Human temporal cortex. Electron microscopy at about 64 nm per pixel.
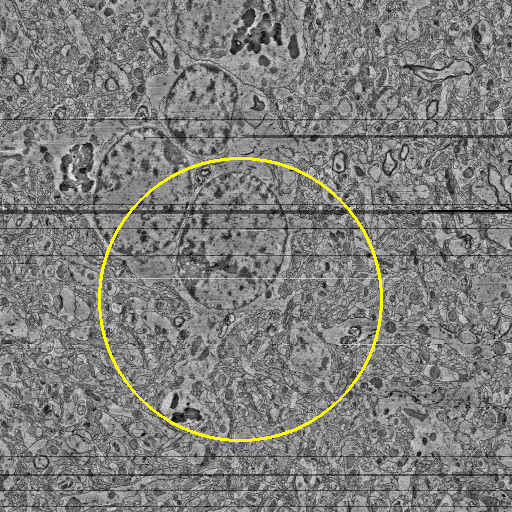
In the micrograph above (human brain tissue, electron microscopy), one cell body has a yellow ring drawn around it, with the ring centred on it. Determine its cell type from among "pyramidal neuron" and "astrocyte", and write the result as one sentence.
The cell whose body is ringed is an astrocyte.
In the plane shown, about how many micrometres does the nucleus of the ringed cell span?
In this plane the nucleus is about 9 micrometres by 7.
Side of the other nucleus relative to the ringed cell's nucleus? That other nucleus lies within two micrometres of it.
The other nucleus lies to the upper left of it.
